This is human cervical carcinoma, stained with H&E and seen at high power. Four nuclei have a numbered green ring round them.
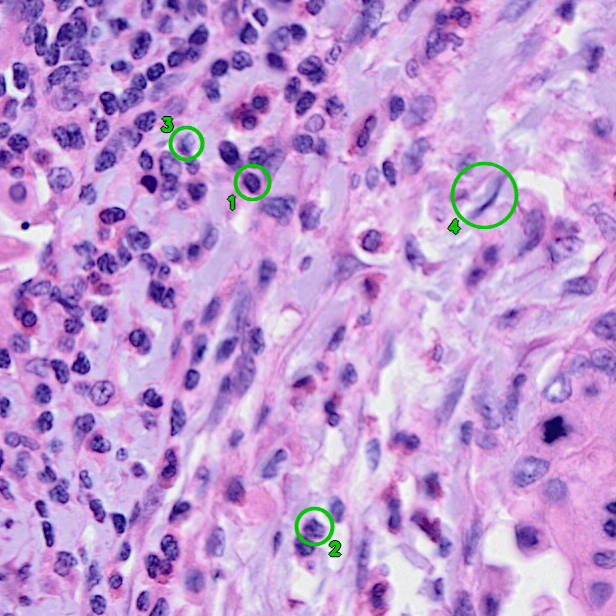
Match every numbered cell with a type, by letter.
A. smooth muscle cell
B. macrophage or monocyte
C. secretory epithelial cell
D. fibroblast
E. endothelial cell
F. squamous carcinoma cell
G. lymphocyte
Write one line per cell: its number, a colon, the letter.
1: G
2: G
3: G
4: D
